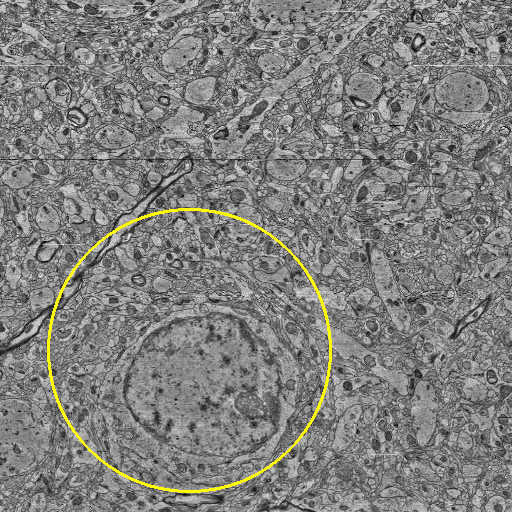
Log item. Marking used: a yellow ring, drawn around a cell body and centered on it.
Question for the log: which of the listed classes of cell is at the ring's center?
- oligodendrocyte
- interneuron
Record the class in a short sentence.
At the center of the ring lies an interneuron.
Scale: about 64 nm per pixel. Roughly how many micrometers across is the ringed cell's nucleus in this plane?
Approximately 10 micrometres across in this plane.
